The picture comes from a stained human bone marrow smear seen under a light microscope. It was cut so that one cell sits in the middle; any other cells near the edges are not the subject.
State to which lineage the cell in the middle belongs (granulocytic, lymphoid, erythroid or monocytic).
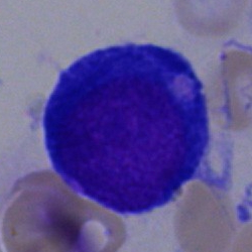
erythroid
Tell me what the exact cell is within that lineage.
proerythroblast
